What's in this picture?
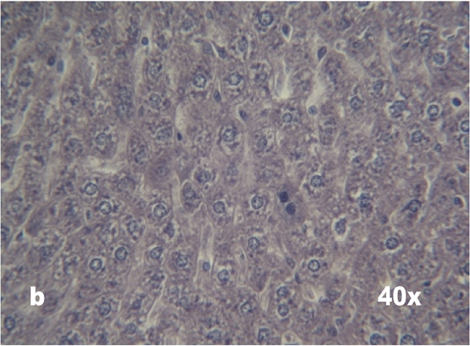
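Liver parenchyma made up of polygonal hepatocytes arranged in closely packed cords. The cells are of fairly uniform size, and their borders are faint. Narrow pale clefts between the cords mark the sinusoids, in which a few small elongated or dark nuclei lie. No swollen, cleared or vacuolated cells are seen, and the tissue looks regular throughout the field.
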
